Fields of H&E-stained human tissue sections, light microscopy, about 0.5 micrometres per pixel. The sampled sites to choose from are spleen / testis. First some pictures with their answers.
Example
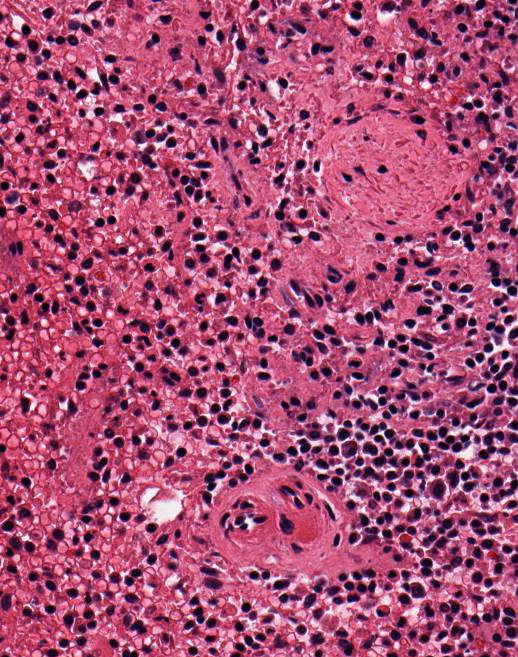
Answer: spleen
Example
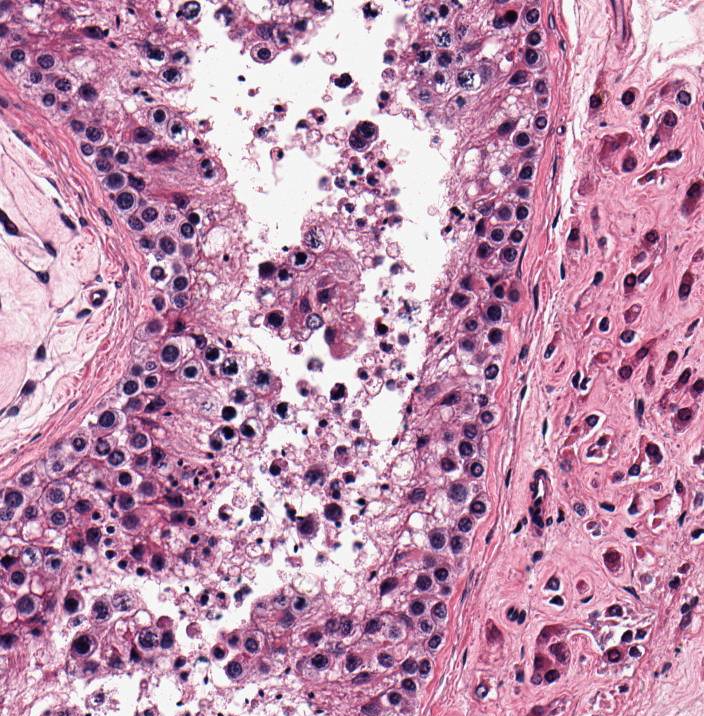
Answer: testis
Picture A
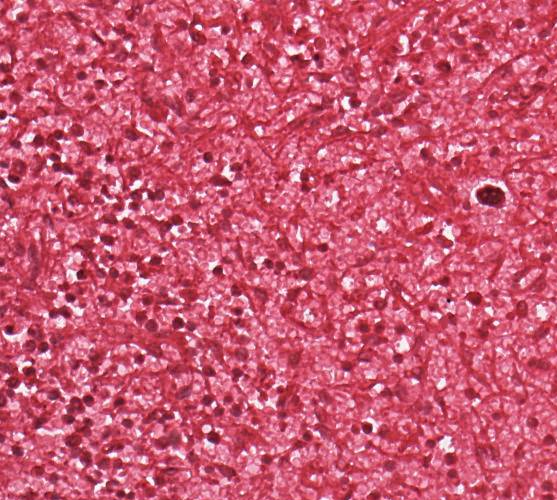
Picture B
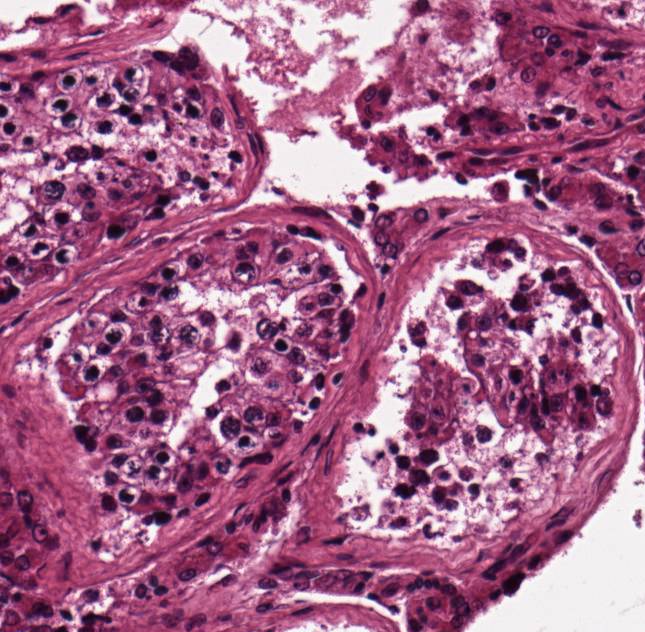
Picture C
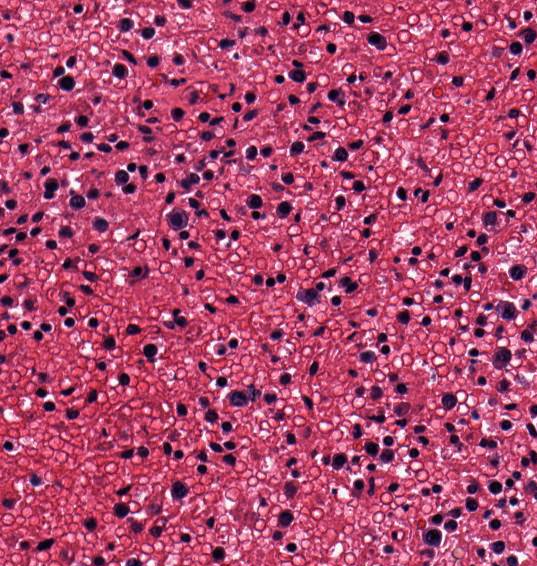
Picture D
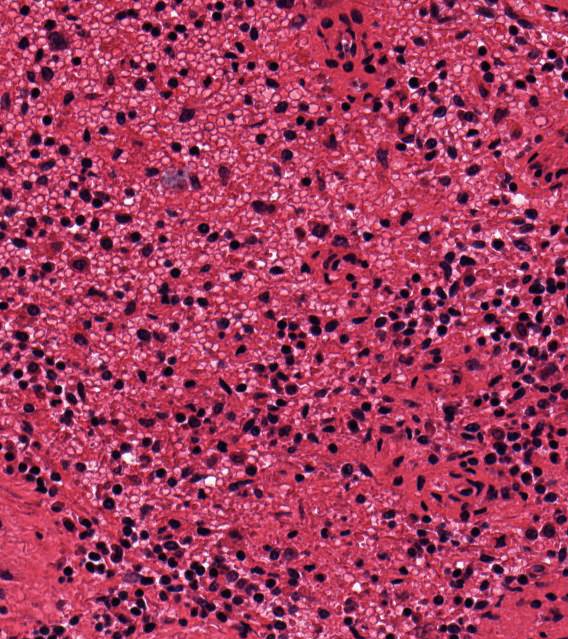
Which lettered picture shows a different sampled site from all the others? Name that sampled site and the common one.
Different: B, testis. Others: spleen.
